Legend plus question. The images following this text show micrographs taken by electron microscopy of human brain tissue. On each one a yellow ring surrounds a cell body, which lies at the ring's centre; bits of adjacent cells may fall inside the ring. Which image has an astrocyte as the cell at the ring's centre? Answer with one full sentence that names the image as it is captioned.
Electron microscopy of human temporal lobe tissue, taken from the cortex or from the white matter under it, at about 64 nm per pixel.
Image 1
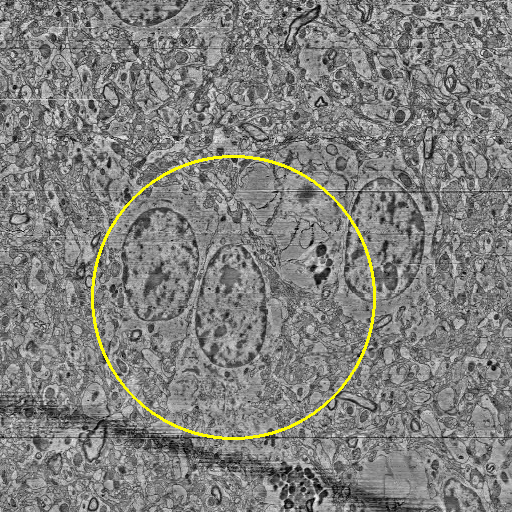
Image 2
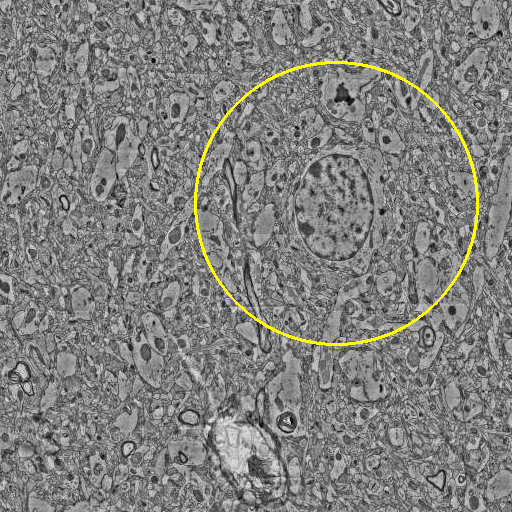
The centred cell that was asked for is the one in Image 1.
